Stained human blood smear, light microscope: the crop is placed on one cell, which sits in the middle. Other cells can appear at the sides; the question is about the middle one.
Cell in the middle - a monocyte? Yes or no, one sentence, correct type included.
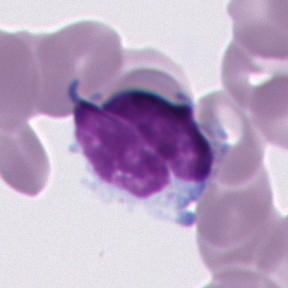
No, the cell at the centre is a large granular lymphocyte, which rules out a monocyte.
